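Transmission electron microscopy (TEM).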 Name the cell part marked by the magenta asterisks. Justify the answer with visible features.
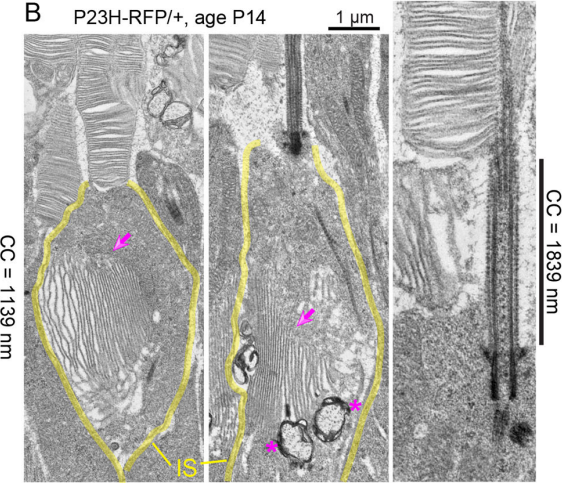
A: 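Round compartments bounded by dark double membranes. They contain pale, heterogeneous material. The answer: Double-membrane autophagy compartments.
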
